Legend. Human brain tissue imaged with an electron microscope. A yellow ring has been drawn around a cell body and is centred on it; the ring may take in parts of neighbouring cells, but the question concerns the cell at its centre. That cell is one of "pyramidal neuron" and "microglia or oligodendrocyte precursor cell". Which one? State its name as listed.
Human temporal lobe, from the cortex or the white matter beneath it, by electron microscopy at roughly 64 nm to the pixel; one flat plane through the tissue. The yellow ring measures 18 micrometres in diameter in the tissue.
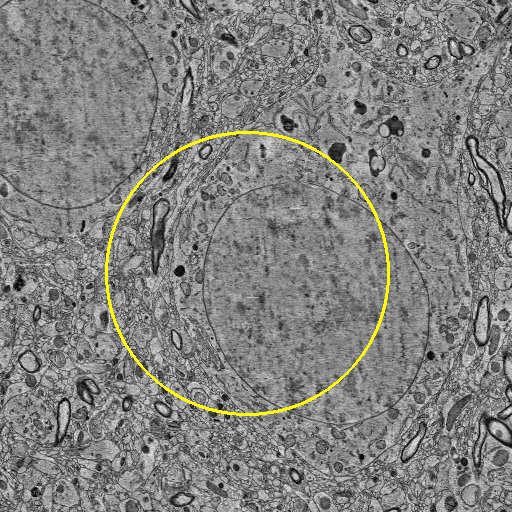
pyramidal neuron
